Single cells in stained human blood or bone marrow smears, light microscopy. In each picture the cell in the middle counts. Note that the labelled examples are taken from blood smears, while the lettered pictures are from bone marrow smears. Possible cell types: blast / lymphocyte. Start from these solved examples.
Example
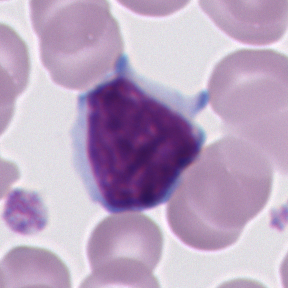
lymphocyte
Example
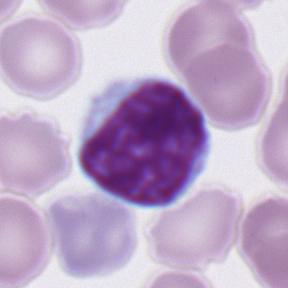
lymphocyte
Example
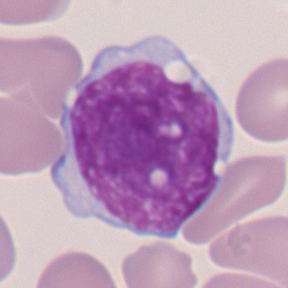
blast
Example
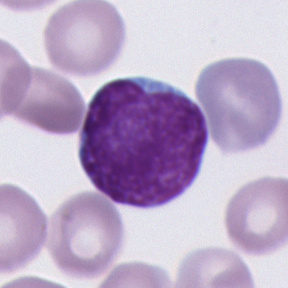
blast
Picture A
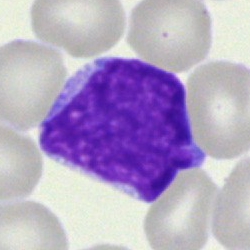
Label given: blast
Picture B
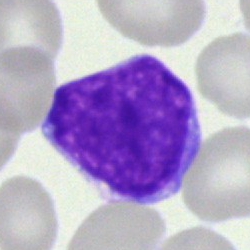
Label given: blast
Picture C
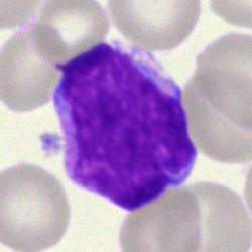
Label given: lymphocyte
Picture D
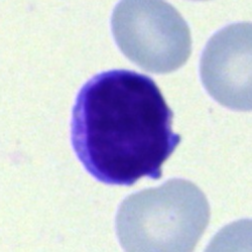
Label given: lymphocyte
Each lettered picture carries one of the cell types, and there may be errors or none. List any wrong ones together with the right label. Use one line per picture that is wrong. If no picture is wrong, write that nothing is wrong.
C: change lymphocyte to blast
